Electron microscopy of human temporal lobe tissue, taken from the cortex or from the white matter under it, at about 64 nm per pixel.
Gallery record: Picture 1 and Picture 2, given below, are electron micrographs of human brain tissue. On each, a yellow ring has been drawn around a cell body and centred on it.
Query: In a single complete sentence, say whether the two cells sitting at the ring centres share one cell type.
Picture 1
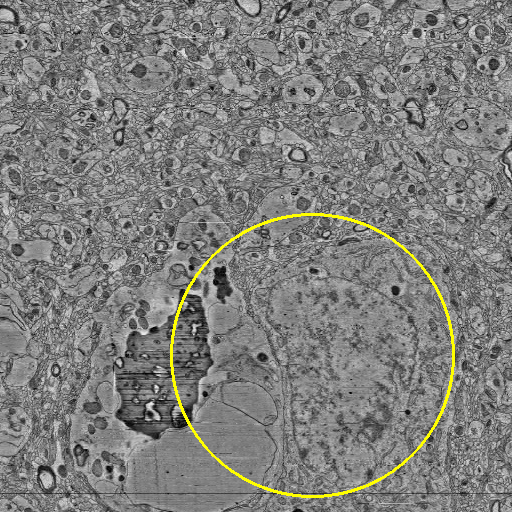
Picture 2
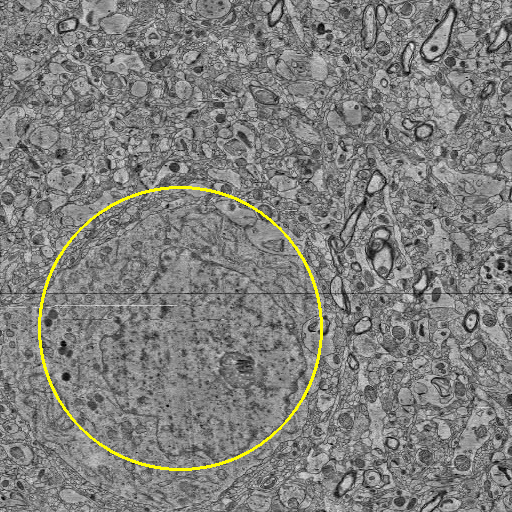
Yes, in both pictures the cell at the ring's centre is of one and the same type.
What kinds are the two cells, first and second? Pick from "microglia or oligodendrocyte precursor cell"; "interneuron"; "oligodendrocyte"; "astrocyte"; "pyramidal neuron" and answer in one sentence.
Both the first and the second picture show an interneuron in the ring.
